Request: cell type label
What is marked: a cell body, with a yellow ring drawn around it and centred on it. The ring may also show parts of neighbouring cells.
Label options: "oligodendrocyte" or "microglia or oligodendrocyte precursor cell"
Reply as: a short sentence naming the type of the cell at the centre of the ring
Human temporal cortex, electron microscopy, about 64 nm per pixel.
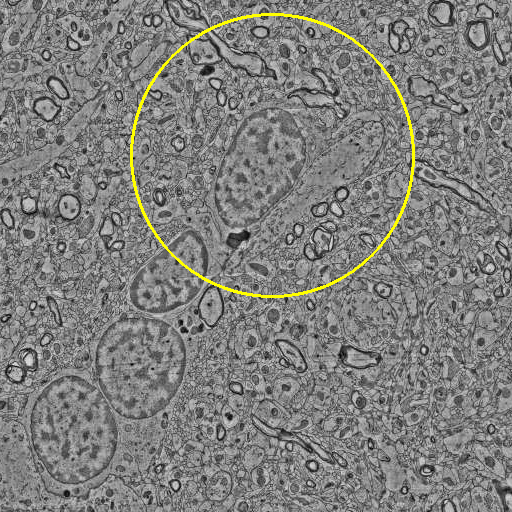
The marked cell body is that of an oligodendrocyte.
